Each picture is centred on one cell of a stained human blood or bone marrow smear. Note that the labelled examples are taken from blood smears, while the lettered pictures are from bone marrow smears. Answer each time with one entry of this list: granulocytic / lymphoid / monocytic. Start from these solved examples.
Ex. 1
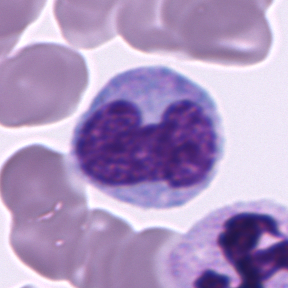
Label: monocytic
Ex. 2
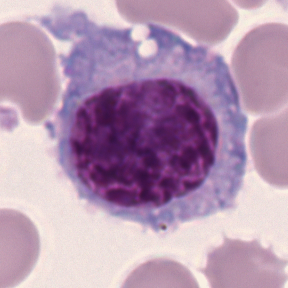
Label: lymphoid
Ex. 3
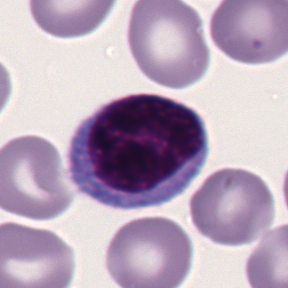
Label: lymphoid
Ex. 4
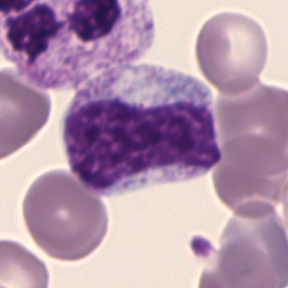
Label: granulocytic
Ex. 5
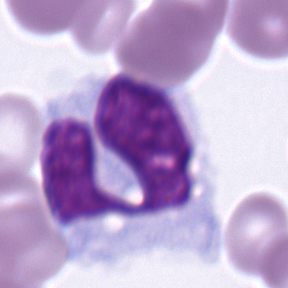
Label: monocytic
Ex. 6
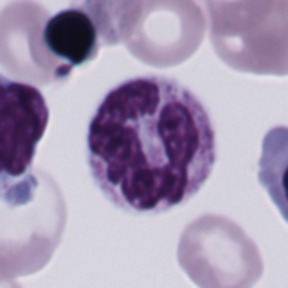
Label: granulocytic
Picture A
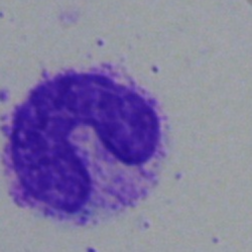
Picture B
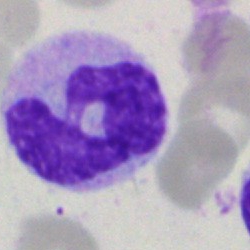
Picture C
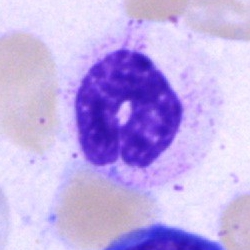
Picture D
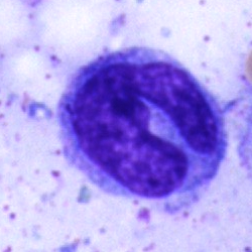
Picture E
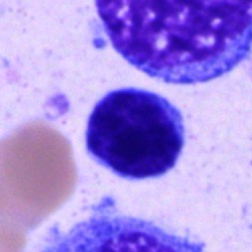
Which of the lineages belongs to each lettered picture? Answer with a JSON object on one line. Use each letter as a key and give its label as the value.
{"A": "granulocytic", "B": "monocytic", "C": "granulocytic", "D": "monocytic", "E": "lymphoid"}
